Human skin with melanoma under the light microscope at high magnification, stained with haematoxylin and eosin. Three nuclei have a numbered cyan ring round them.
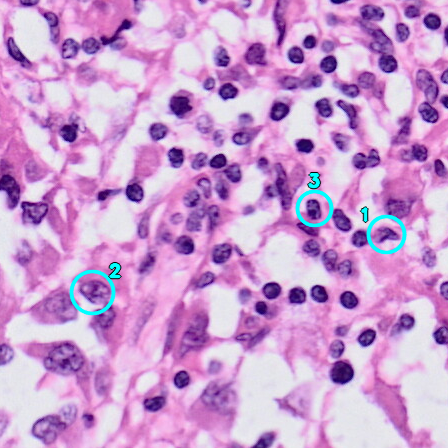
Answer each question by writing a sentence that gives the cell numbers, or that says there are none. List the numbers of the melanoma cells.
Only at number 2 is there a melanoma cell.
